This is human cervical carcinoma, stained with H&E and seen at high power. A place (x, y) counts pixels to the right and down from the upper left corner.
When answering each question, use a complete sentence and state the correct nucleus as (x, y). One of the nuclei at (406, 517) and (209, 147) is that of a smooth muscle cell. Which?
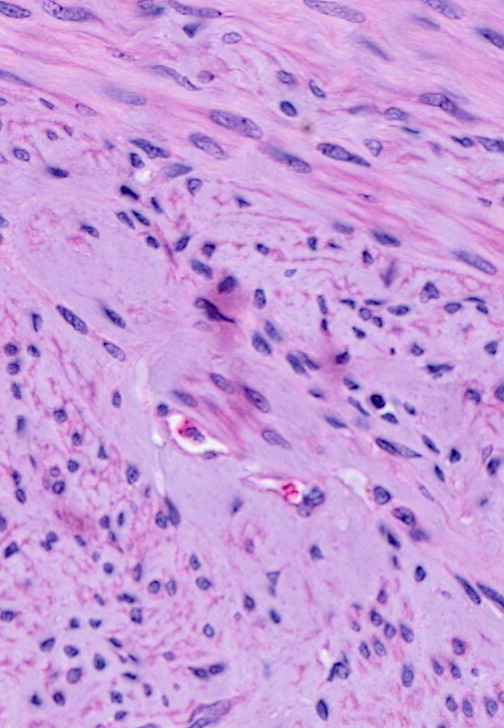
The nucleus at (209, 147) is contained in a smooth muscle cell.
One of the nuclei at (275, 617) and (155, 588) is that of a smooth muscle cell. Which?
Of the two options, the nucleus at (155, 588) is the one that belongs to a smooth muscle cell.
